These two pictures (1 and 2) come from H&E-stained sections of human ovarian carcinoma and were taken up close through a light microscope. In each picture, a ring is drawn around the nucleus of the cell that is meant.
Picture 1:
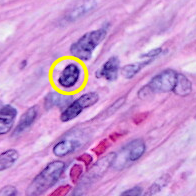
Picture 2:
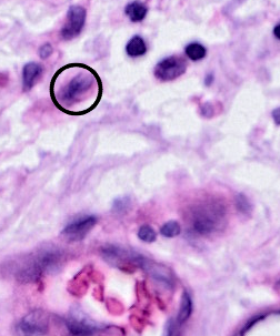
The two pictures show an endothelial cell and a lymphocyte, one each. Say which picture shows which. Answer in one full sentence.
It is picture 1 that shows a lymphocyte, and picture 2 that shows an endothelial cell.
